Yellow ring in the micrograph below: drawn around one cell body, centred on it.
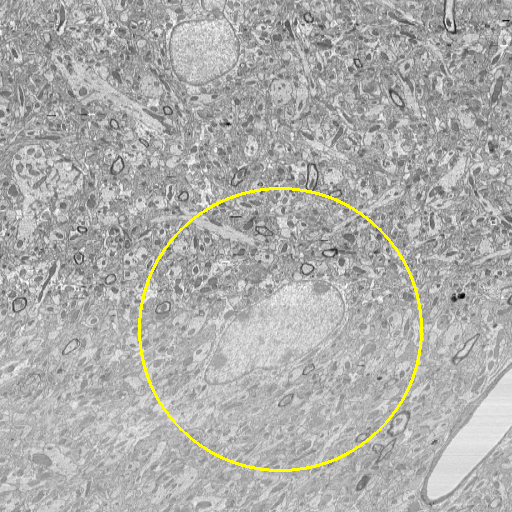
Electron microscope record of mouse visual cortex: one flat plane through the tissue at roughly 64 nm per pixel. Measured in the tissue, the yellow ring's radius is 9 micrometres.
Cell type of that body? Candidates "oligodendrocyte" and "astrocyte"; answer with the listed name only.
astrocyte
